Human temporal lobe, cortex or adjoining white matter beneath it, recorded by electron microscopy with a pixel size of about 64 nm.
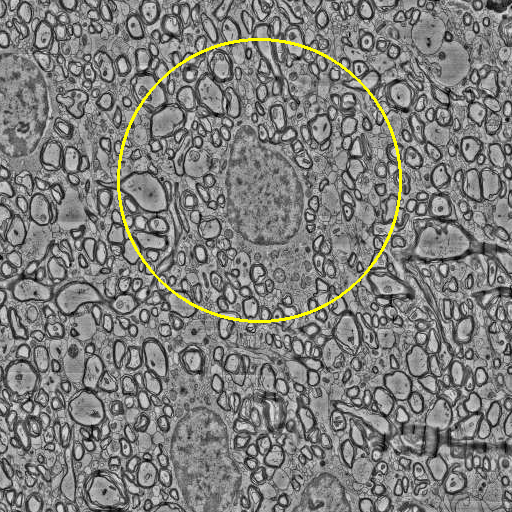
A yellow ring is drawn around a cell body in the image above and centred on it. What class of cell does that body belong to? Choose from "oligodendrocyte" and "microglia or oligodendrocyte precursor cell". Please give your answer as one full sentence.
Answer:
The yellow ring above is centred on the cell body of an oligodendrocyte.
